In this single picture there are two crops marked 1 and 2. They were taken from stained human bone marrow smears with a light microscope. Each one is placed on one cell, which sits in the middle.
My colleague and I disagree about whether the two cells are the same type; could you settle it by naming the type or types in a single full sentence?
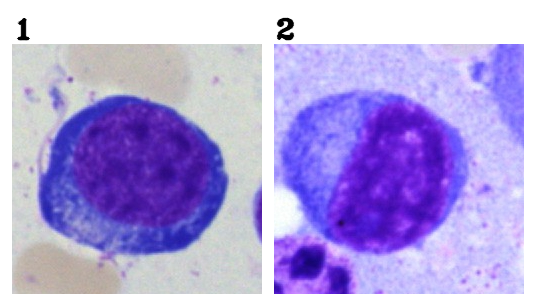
No, the central cell of crop 1 is a proerythroblast; that of crop 2 is a plasma cell.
